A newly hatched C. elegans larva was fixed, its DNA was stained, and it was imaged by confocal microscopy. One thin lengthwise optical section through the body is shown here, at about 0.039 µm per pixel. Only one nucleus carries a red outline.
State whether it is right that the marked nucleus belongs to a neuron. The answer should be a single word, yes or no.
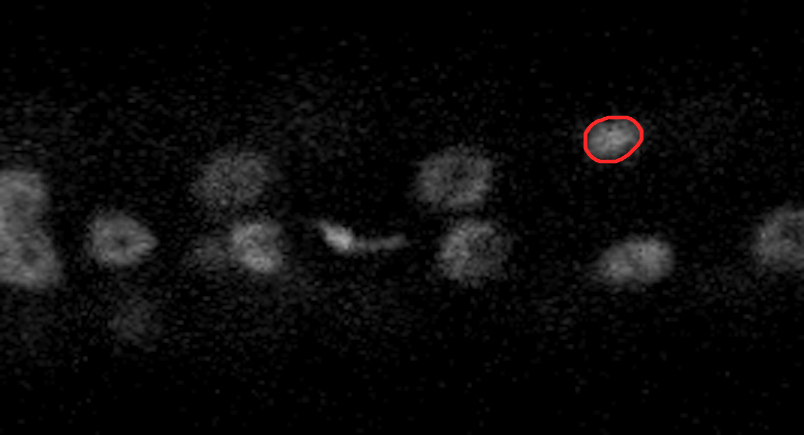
yes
